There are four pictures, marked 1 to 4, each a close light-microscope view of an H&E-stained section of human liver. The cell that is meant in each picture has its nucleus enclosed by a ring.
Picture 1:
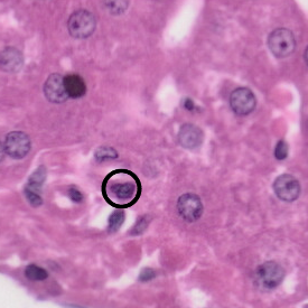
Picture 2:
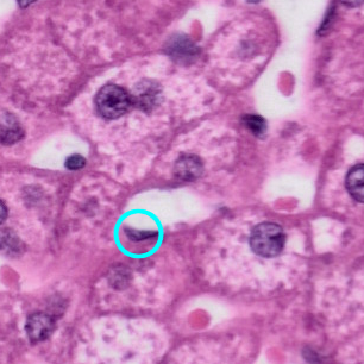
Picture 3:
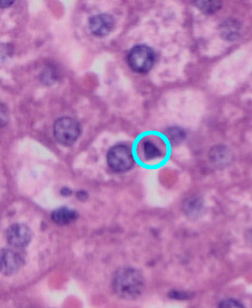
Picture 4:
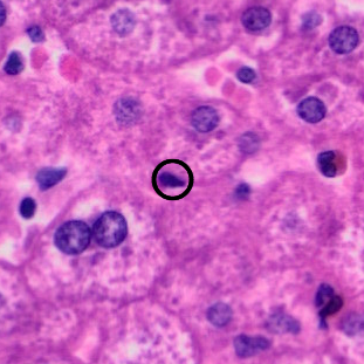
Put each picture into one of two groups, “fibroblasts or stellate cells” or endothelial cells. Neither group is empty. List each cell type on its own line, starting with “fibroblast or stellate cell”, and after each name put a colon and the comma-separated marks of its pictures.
fibroblast or stellate cell: 1, 3, 4
endothelial cell: 2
